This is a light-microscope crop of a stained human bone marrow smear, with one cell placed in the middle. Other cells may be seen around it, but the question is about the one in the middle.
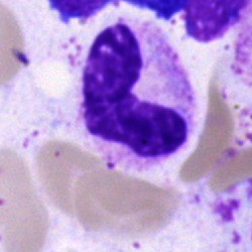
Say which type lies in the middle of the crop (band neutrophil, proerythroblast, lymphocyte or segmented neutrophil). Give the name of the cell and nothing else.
band neutrophil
